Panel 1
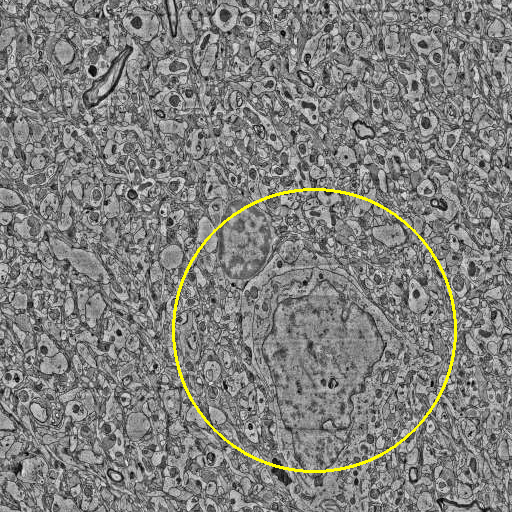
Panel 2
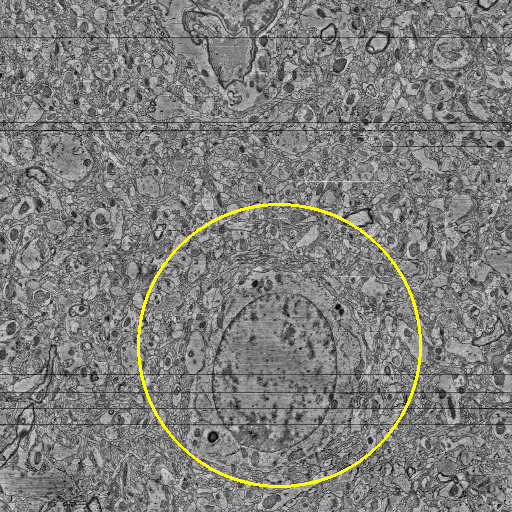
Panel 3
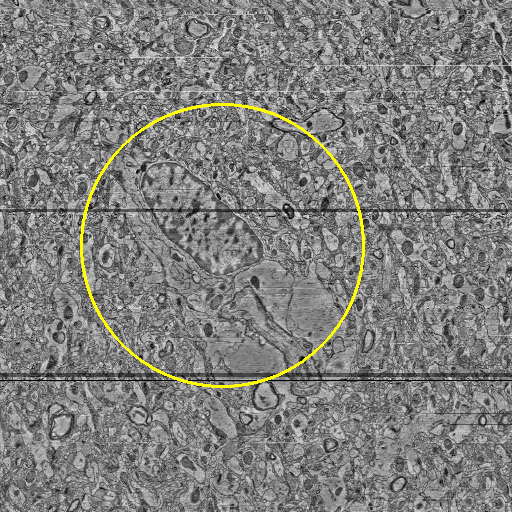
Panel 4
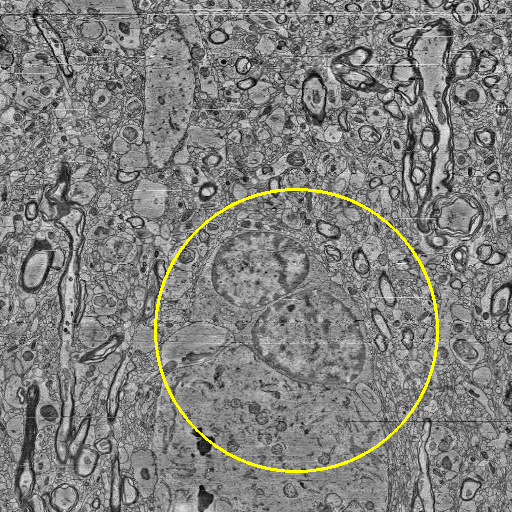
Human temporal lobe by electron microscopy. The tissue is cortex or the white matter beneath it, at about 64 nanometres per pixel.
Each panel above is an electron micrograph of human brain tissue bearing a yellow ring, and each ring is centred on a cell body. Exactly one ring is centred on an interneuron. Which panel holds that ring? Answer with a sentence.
That ring is in Panel 1.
